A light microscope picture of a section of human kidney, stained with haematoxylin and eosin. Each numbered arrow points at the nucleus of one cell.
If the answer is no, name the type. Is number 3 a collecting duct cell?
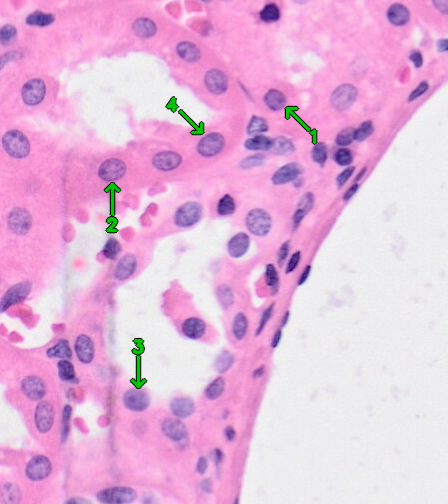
Yes.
